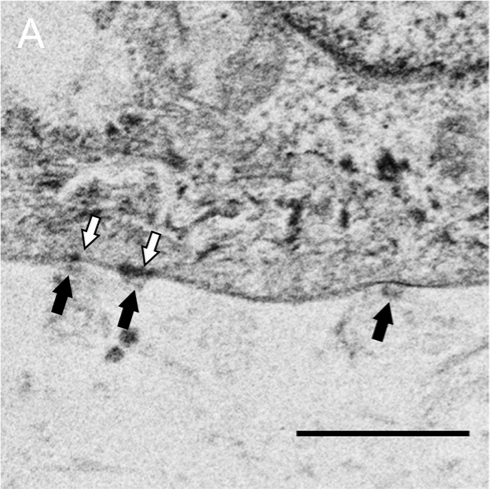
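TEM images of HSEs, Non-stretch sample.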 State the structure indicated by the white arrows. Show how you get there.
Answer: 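Hemidesmosome. Small electron-dense plaques sit on the inner face of the basal cell membrane. The plaques lie where the cell borders the pale underlying matrix.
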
